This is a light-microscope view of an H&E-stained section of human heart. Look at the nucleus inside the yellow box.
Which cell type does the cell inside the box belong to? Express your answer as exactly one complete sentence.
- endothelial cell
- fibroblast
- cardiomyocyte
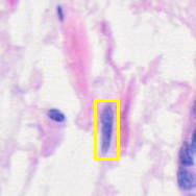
So far as cell type goes, the cell inside the box is a fibroblast.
